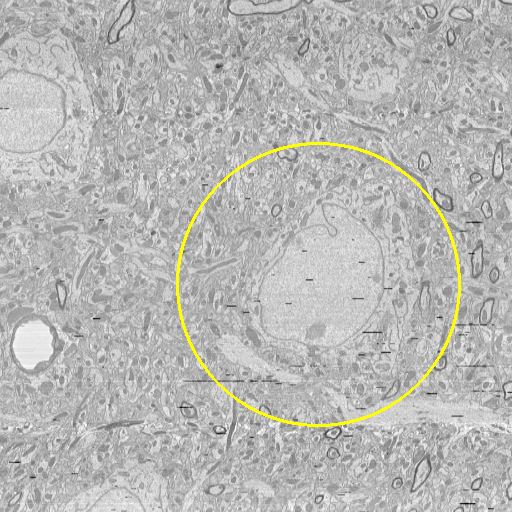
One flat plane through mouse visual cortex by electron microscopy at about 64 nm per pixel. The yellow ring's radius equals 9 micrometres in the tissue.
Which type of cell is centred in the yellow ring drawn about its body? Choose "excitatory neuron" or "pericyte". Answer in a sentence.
The yellow ring surrounds the cell body of an excitatory neuron.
